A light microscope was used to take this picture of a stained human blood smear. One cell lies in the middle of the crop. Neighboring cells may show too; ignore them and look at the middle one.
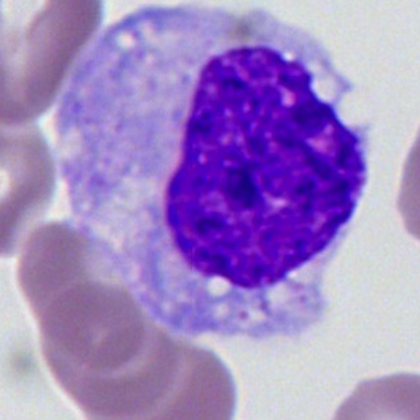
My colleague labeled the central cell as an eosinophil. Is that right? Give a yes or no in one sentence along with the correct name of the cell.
No, the cell in the centre is to be called a monocyte instead of an eosinophil.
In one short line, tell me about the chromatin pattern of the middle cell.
Chromatin in the nucleus here is coarsely clumped.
